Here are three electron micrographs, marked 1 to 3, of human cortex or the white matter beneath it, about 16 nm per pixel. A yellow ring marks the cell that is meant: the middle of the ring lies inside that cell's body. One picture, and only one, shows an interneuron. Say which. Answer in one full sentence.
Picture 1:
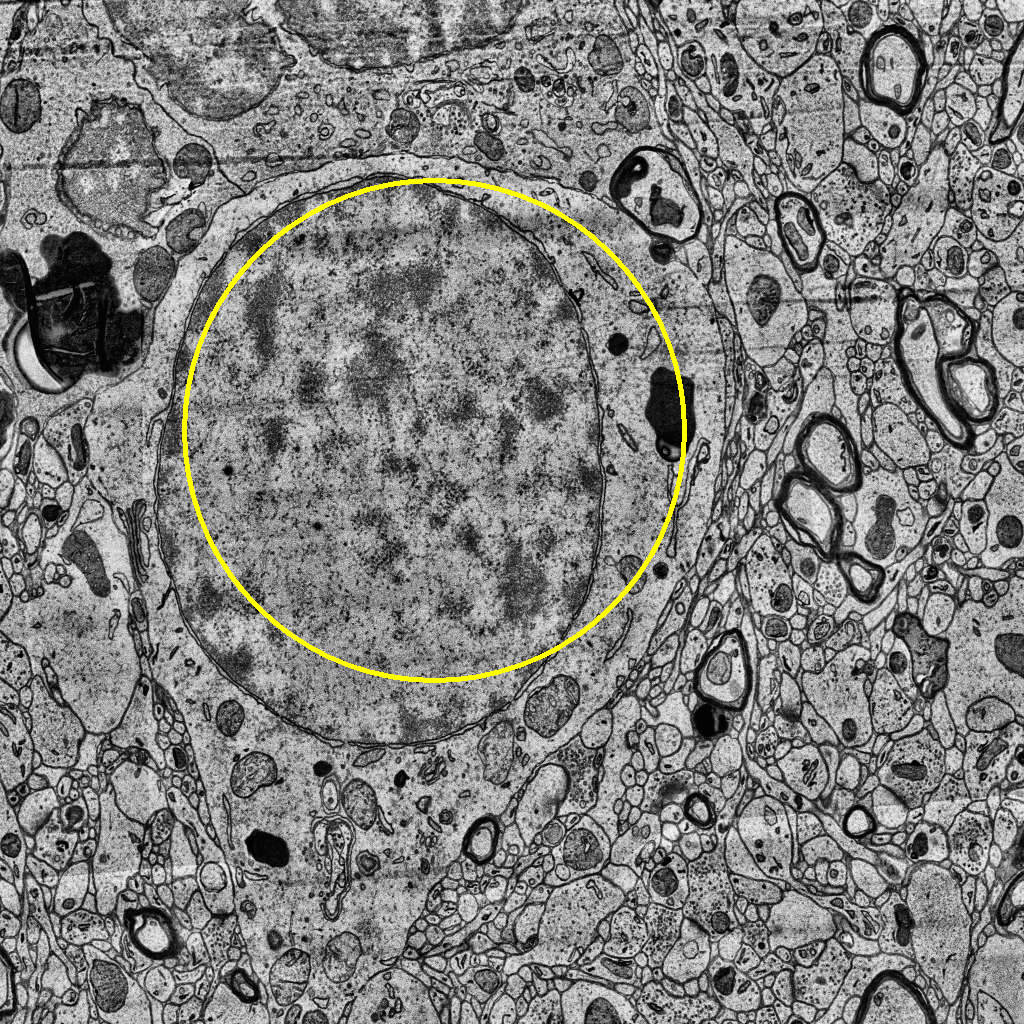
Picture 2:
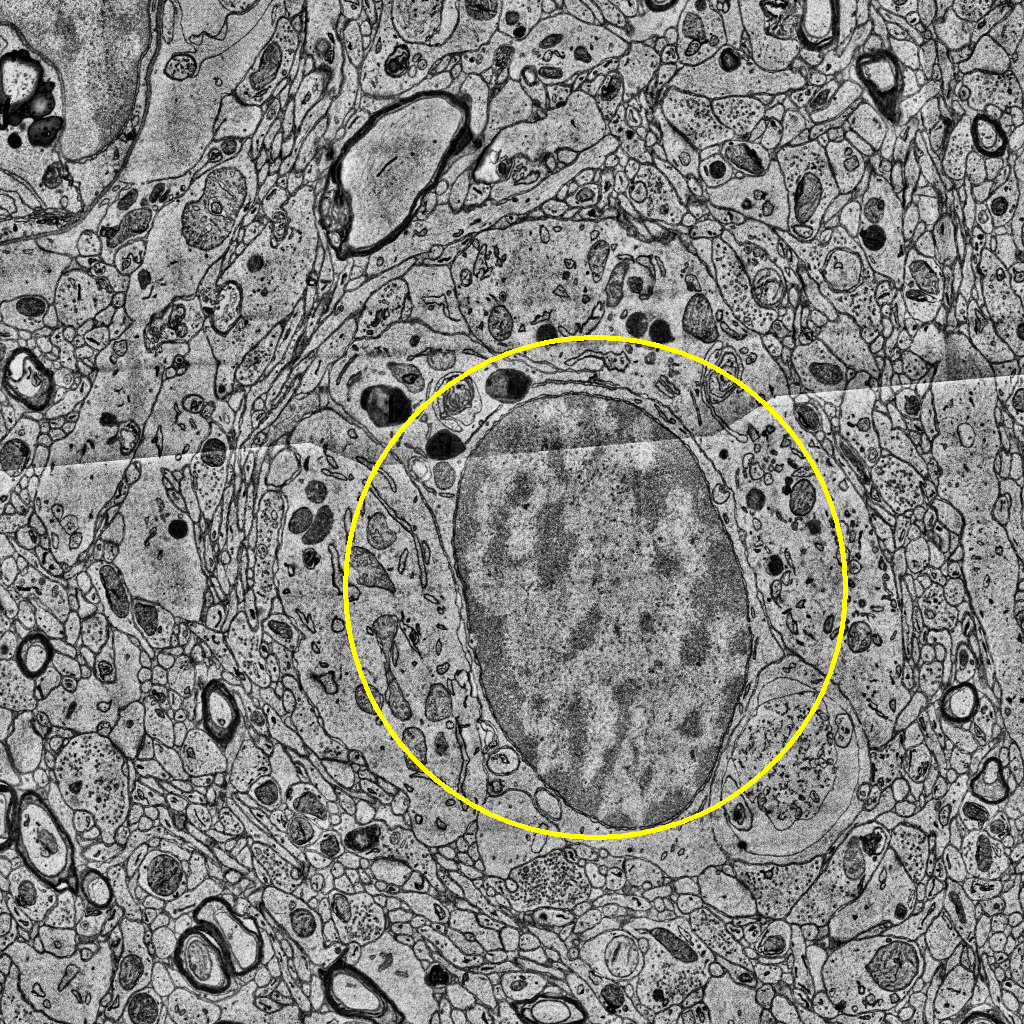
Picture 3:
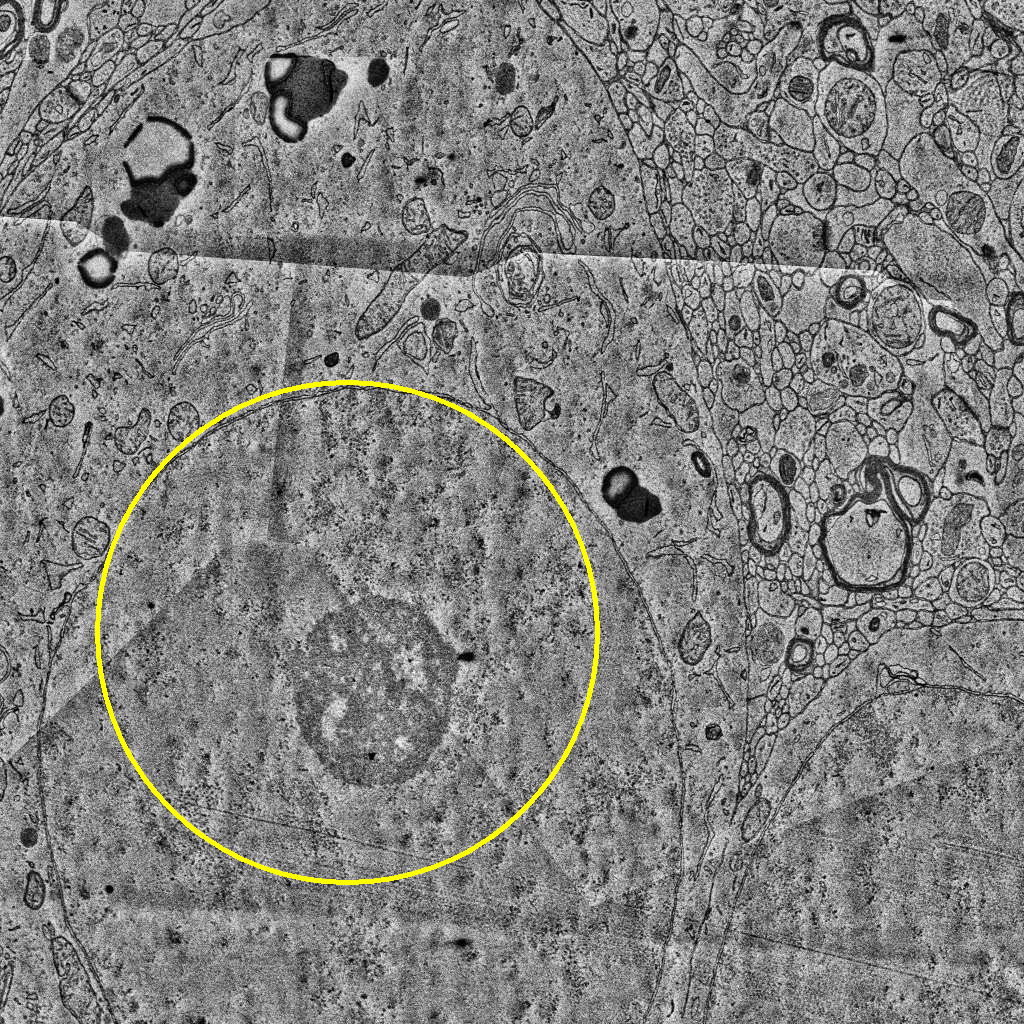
The picture with the interneuron is 1.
